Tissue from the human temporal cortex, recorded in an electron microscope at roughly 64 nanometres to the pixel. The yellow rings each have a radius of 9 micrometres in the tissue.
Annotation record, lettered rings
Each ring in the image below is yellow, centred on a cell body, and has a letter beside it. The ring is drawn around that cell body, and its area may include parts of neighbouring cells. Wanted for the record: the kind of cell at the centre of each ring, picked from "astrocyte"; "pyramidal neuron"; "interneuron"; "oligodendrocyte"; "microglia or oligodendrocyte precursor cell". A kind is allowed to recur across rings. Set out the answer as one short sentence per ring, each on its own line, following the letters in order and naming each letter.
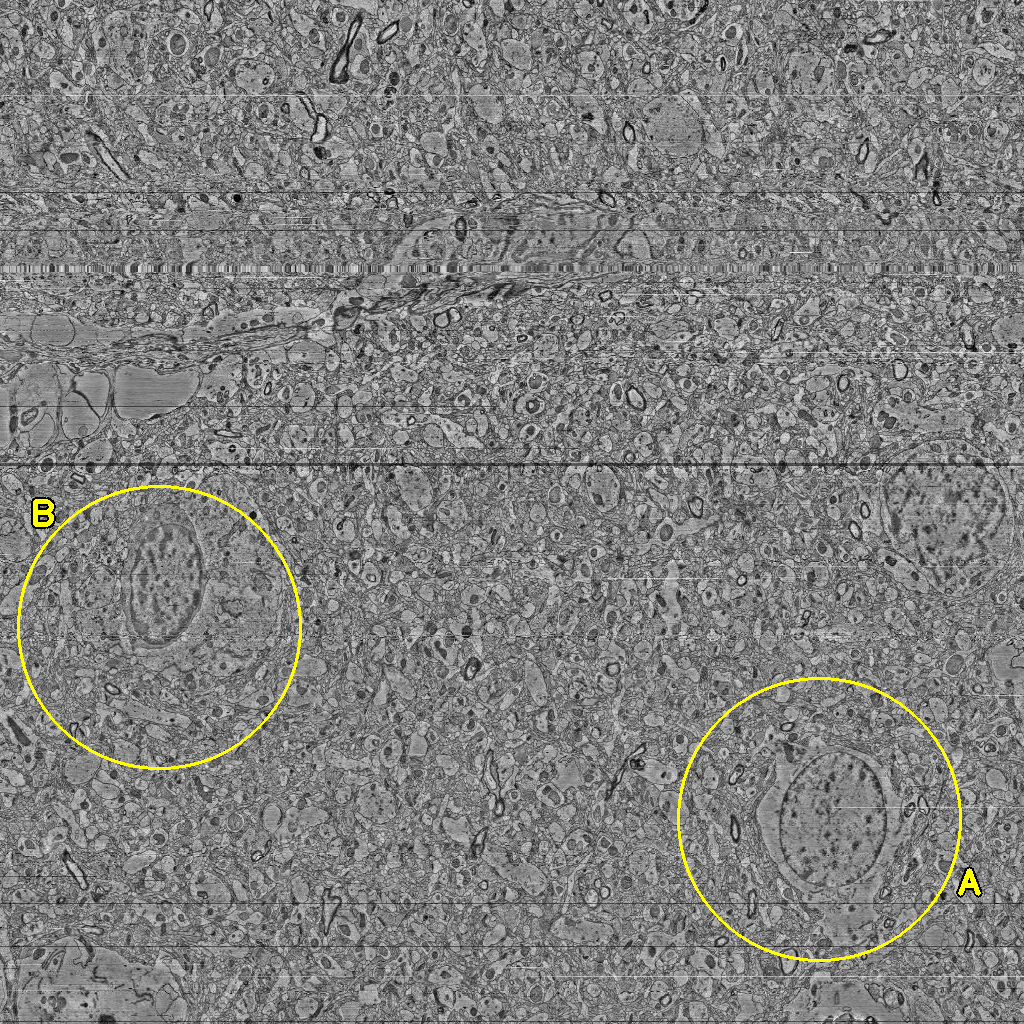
Ring A was drawn on an astrocyte.
Ring B was drawn on an oligodendrocyte.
